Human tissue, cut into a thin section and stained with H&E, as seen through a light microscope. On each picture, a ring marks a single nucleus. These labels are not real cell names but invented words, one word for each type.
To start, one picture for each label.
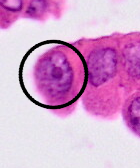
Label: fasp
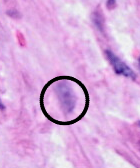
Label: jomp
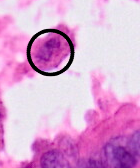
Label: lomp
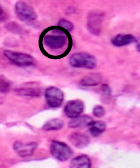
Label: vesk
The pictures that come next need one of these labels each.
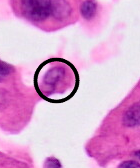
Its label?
lomp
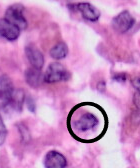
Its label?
lomp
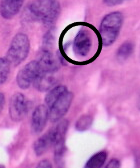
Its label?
fasp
